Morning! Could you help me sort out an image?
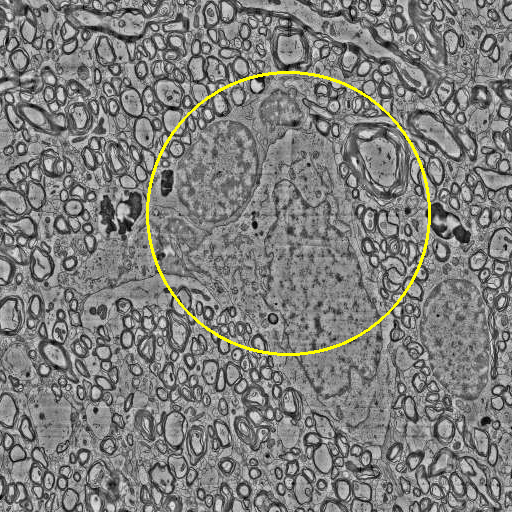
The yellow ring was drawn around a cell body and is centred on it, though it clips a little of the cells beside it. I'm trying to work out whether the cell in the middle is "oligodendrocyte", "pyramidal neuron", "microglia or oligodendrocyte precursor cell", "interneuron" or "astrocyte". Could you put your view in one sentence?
The ringed cell body is that of an interneuron.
